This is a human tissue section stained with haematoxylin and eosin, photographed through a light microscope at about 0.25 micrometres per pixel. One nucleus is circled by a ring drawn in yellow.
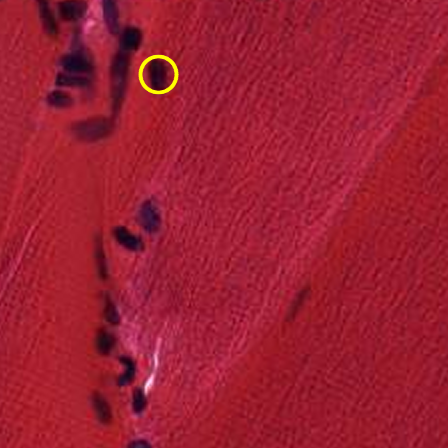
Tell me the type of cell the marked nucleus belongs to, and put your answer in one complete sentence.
The cell to which the marked nucleus belongs is a skeletal muscle fibre.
